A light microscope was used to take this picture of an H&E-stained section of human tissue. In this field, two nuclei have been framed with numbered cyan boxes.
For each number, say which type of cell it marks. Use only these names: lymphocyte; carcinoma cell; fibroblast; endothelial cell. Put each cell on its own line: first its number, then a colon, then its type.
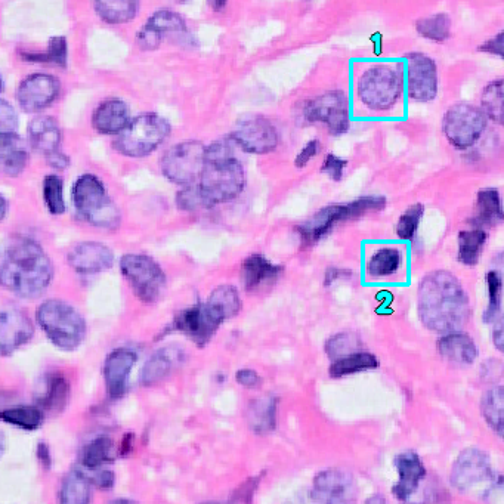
1: carcinoma cell
2: lymphocyte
